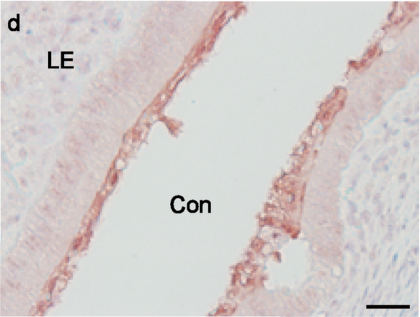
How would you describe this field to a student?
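Strips of conceptus tissue line both sides of the uterine lumen, resting against the luminal epithelium. The conceptus cells are small, irregular and partly vacuolated, with an intense red-brown cytoplasmic reaction, whereas the columnar luminal epithelium is only weakly coloured. The underlying stroma contains scattered bluish nuclei and remains nearly unstained.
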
